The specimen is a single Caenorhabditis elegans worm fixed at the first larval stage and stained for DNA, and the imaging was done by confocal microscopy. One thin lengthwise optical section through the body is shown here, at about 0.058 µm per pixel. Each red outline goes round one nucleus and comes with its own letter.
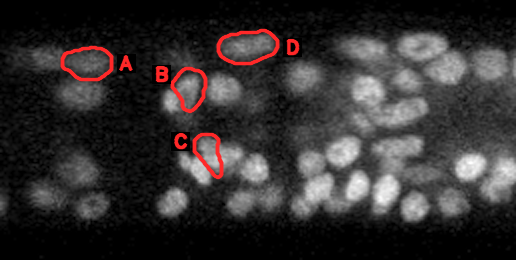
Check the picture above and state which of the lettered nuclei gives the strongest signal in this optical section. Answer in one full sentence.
C is stained most strongly in this section.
